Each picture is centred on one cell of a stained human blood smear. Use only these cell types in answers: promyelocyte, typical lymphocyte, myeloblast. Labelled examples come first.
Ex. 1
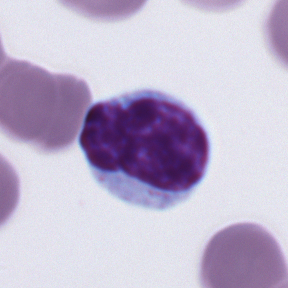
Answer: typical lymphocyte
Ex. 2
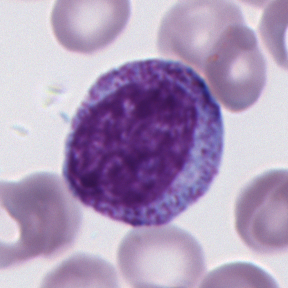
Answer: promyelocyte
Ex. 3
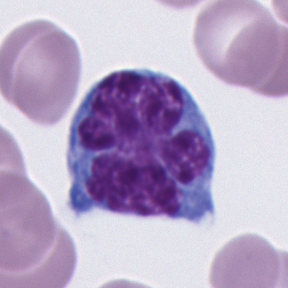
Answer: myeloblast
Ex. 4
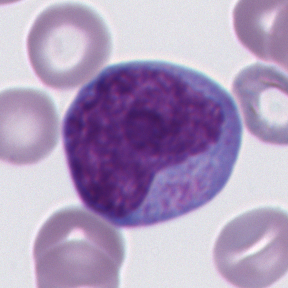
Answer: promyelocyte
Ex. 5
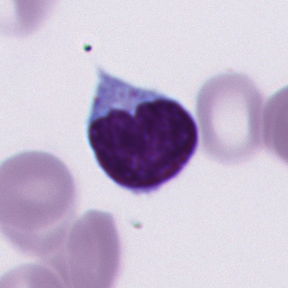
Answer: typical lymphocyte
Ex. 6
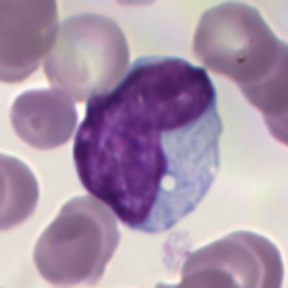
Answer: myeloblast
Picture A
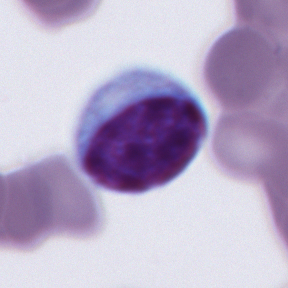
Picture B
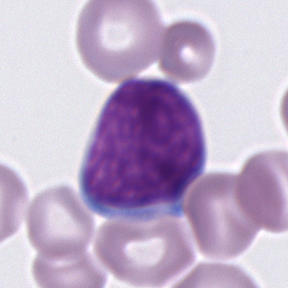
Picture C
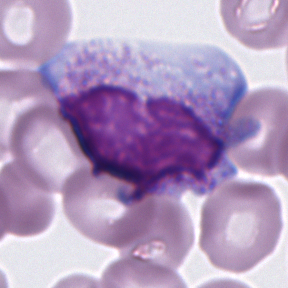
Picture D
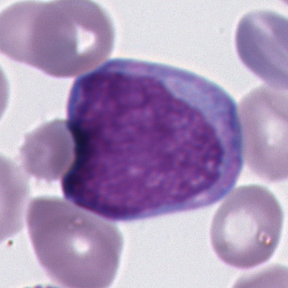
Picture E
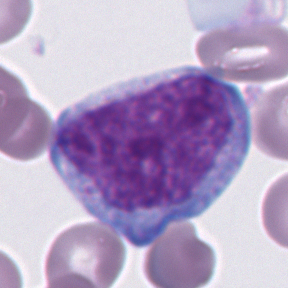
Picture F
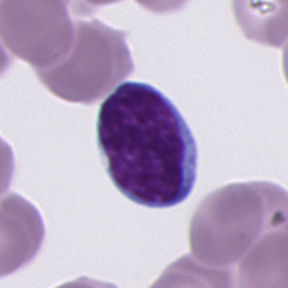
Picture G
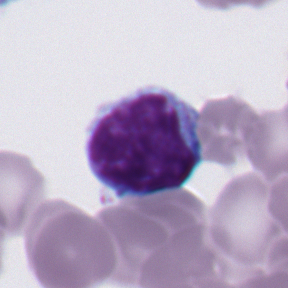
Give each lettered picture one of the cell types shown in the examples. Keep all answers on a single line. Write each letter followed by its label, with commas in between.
A typical lymphocyte, B typical lymphocyte, C promyelocyte, D promyelocyte, E promyelocyte, F typical lymphocyte, G typical lymphocyte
